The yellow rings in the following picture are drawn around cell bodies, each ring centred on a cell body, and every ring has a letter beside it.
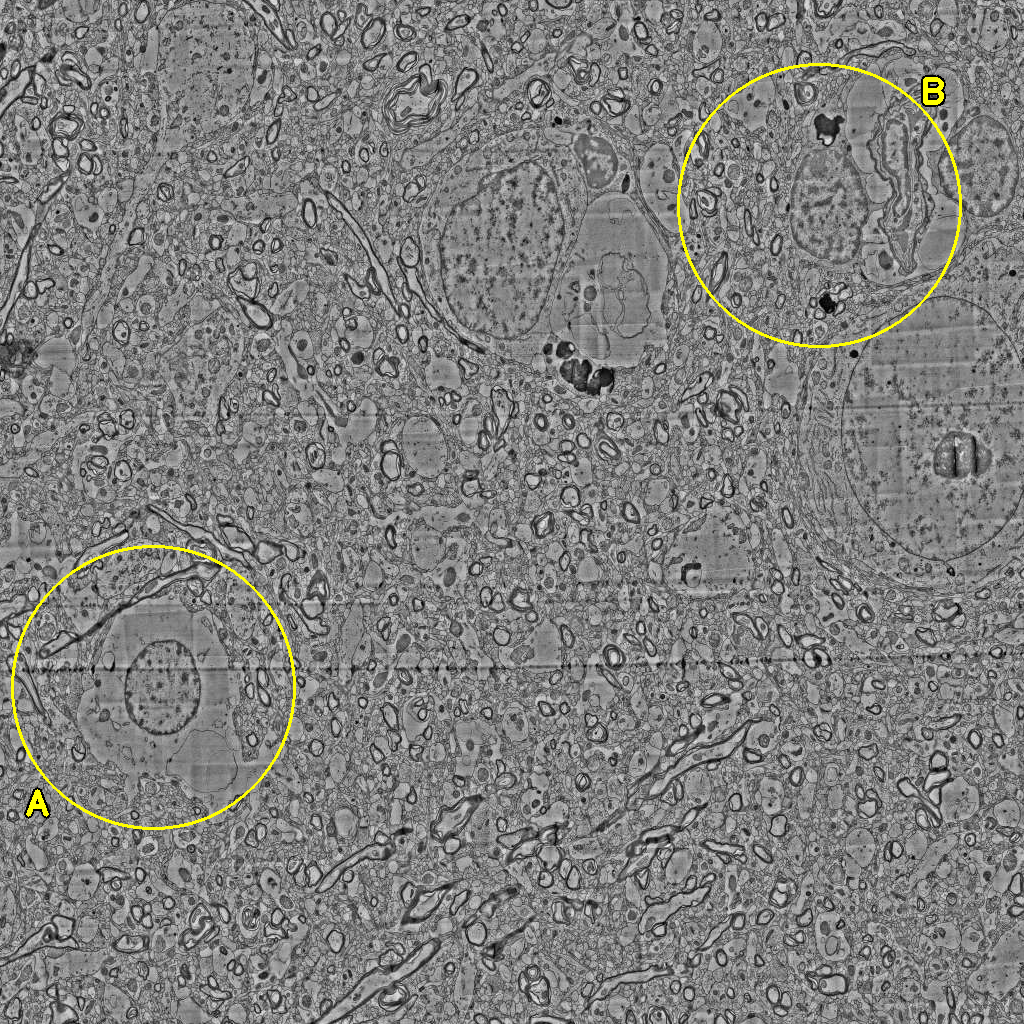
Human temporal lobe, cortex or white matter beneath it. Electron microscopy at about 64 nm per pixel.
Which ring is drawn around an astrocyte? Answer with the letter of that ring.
A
